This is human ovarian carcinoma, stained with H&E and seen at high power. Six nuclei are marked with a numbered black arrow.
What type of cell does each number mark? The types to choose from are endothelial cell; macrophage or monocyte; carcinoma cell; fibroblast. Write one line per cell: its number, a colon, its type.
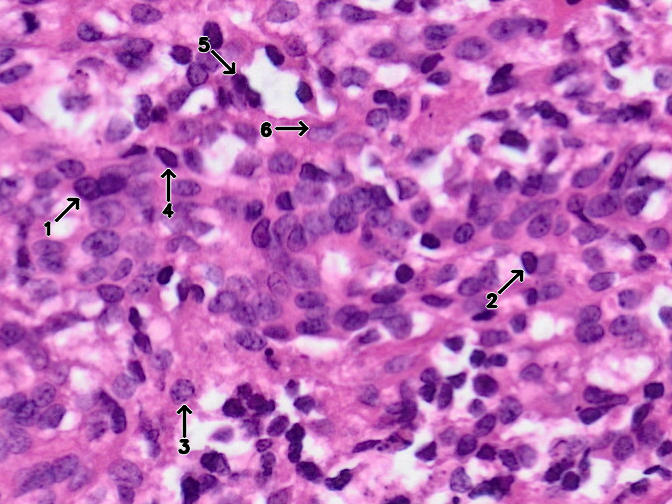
1: carcinoma cell
2: carcinoma cell
3: macrophage or monocyte
4: carcinoma cell
5: carcinoma cell
6: endothelial cell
